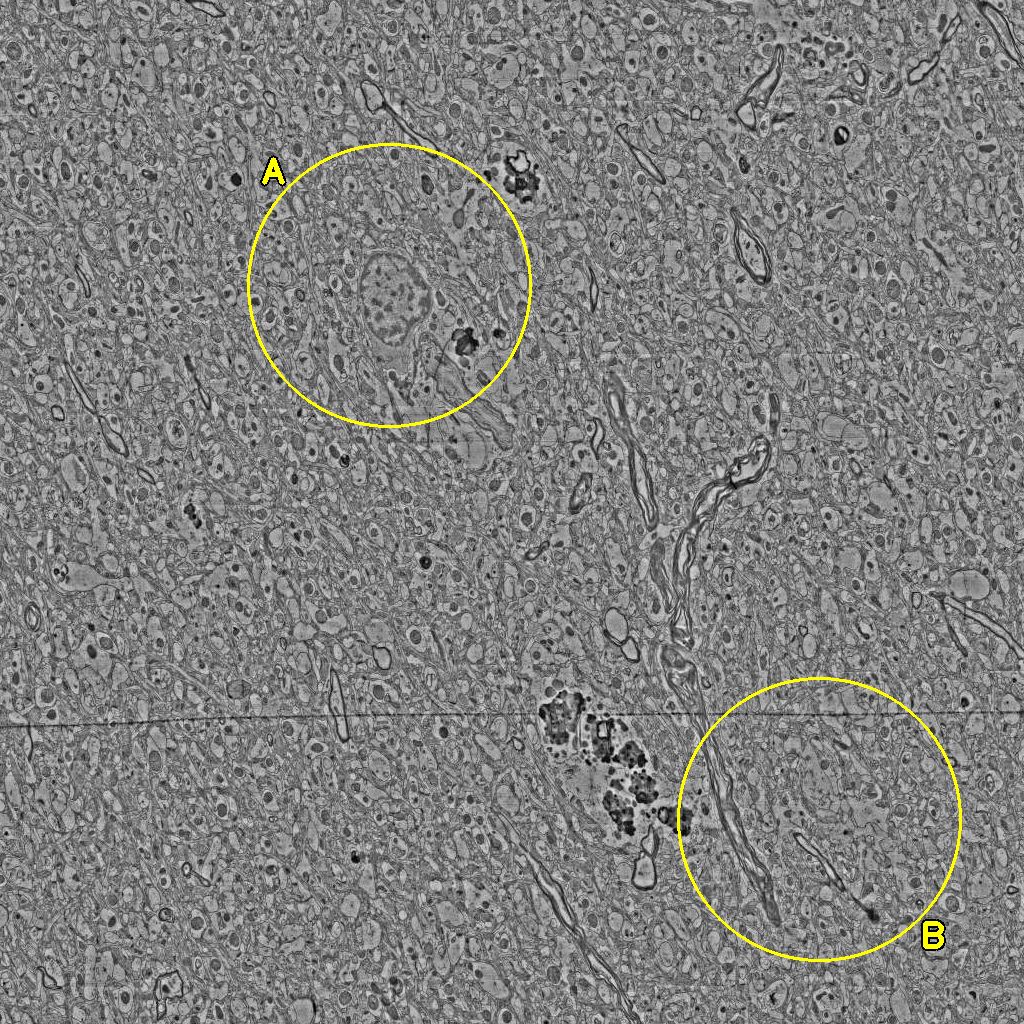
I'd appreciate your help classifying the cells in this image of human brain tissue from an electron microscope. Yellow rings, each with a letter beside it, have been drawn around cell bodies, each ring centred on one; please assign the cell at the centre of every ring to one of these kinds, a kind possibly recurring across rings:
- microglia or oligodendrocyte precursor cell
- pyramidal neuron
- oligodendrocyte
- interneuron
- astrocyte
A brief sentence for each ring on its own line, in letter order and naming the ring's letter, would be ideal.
In ring A, the central cell is an oligodendrocyte.
In ring B, the central cell is a microglial cell or oligodendrocyte precursor cell.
